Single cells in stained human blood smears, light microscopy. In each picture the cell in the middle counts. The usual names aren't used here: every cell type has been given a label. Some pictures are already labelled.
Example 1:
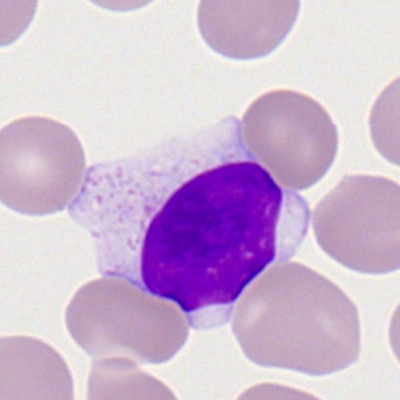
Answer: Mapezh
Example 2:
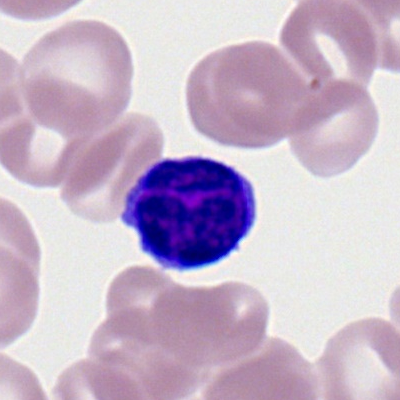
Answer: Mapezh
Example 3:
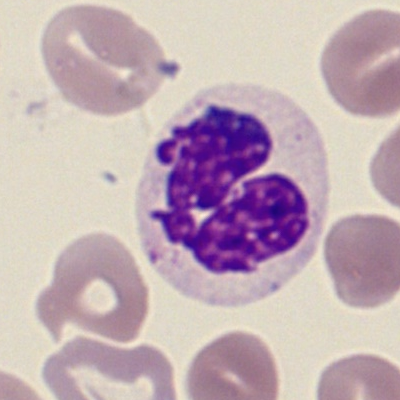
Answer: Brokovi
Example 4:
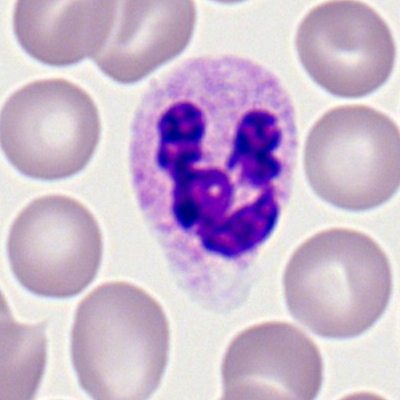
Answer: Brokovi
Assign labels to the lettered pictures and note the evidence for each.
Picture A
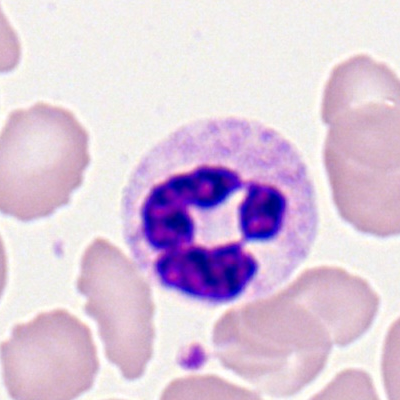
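Answer: Brokovi. The nucleus is divided into several lobes arranged in a ring around a pale central space.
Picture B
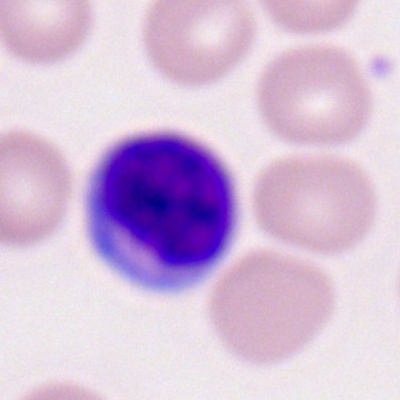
Answer: Mapezh. The cytoplasm is scant, a thin rim widening into a crescent at the lower left.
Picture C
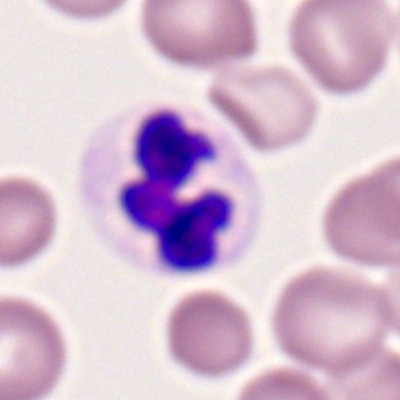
Answer: Brokovi. The cytoplasm is plentiful around the nucleus.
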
